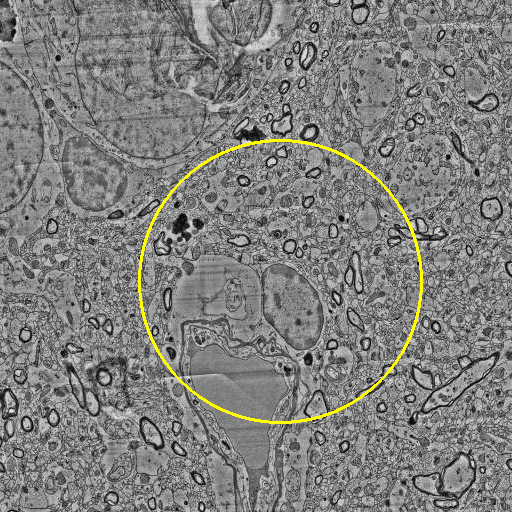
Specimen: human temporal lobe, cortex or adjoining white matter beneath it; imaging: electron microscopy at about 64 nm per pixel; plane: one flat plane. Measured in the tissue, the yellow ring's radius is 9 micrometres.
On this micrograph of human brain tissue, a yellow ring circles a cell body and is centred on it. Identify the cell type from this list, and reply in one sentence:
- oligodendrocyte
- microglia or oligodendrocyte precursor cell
The cell at the centre is a microglial cell or oligodendrocyte precursor cell.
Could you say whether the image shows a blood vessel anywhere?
Yes, a blood vessel shows in the picture.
